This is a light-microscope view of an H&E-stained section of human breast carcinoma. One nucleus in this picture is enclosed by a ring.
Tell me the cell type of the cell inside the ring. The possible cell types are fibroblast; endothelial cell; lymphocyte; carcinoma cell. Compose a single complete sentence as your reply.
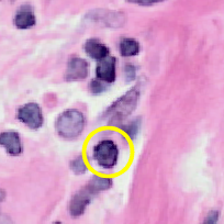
To be brief about it, the cell inside the ring is a lymphocyte.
